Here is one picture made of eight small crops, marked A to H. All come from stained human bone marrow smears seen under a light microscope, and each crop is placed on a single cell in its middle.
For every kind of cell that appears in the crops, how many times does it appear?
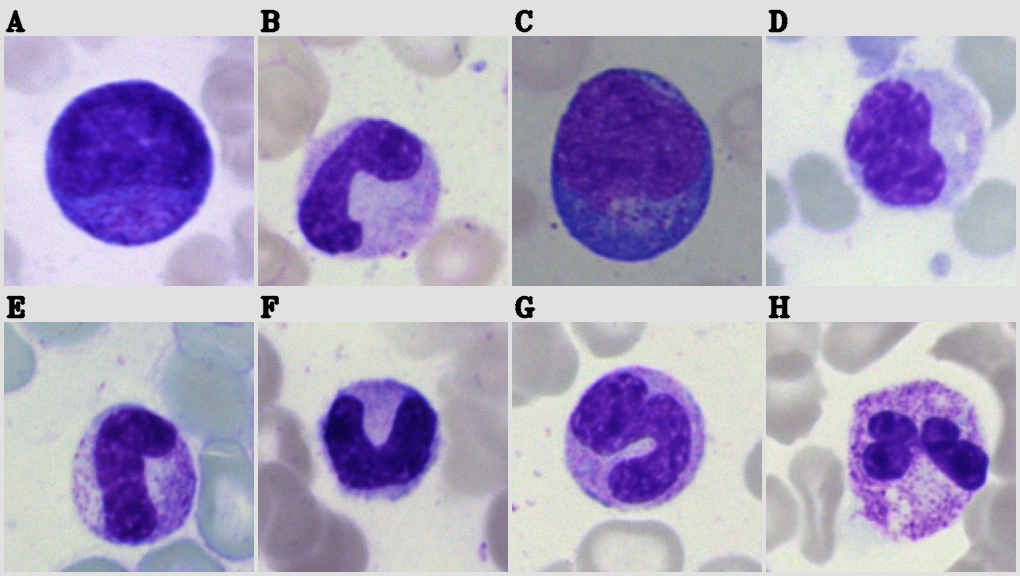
band neutrophil: 5
promyelocyte: 2
segmented neutrophil: 1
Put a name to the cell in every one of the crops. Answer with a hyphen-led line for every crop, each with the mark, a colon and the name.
- A: promyelocyte
- B: band neutrophil
- C: promyelocyte
- D: band neutrophil
- E: band neutrophil
- F: band neutrophil
- G: band neutrophil
- H: segmented neutrophil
